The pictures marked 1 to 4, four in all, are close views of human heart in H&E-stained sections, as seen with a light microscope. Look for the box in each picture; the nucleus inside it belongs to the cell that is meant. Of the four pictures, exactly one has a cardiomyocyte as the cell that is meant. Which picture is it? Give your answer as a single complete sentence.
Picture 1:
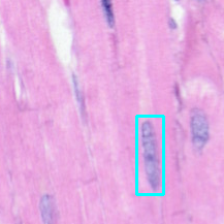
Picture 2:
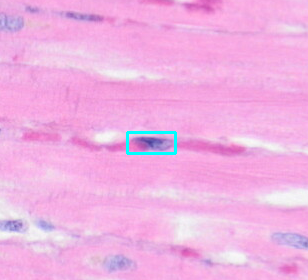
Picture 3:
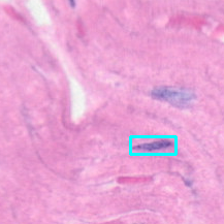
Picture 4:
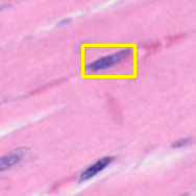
The picture with the cardiomyocyte is 1.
